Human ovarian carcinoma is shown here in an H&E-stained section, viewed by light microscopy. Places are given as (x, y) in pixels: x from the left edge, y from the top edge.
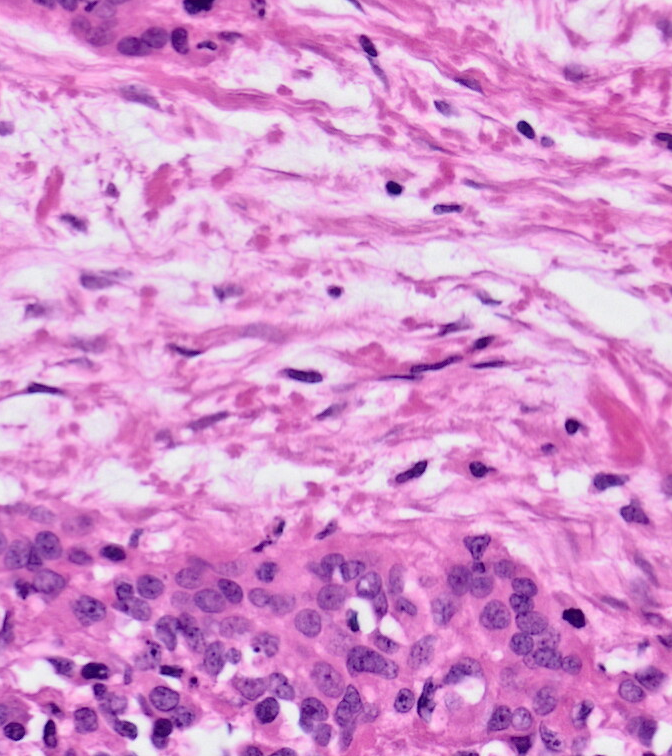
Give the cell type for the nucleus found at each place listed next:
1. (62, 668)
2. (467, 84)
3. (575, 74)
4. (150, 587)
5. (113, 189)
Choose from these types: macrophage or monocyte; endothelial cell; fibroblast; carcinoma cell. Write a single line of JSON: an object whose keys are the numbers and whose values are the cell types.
{"1": "carcinoma cell", "2": "fibroblast", "3": "fibroblast", "4": "carcinoma cell", "5": "fibroblast"}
